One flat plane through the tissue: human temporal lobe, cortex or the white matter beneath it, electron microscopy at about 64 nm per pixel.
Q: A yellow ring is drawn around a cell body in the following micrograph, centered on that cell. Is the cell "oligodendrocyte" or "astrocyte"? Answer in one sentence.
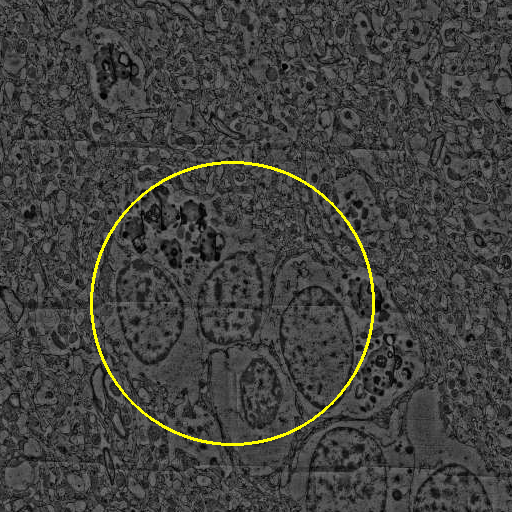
The cell in the center of the ring is an astrocyte.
